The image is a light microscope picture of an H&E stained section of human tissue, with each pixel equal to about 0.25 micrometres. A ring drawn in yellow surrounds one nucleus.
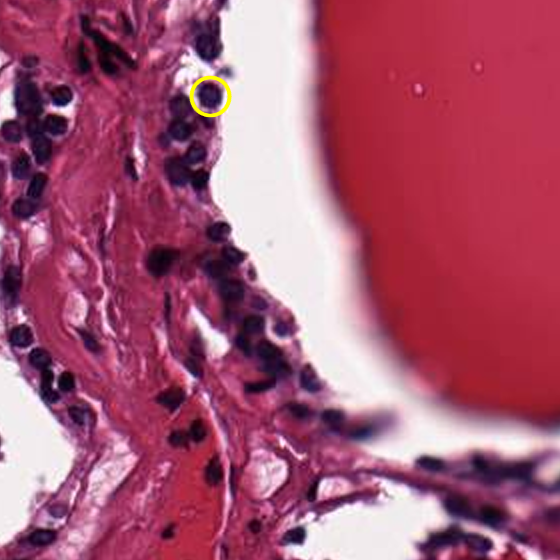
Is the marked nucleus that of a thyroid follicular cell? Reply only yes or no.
yes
